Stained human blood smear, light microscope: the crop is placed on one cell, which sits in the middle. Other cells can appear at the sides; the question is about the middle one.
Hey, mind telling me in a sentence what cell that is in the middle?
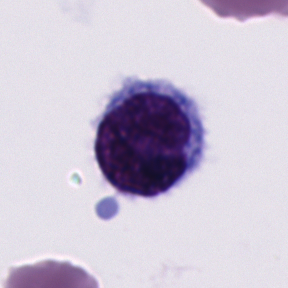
Here the centrally located cell is a hairy cell.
